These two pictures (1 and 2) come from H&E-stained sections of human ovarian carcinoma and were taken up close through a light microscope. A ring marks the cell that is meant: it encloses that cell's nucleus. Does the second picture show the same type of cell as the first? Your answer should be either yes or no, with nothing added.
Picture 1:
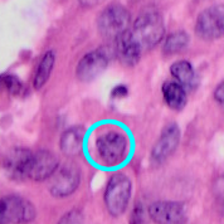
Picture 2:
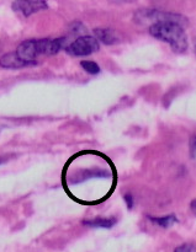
no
